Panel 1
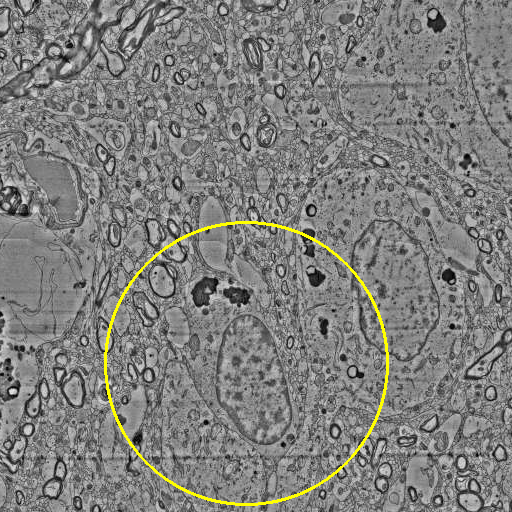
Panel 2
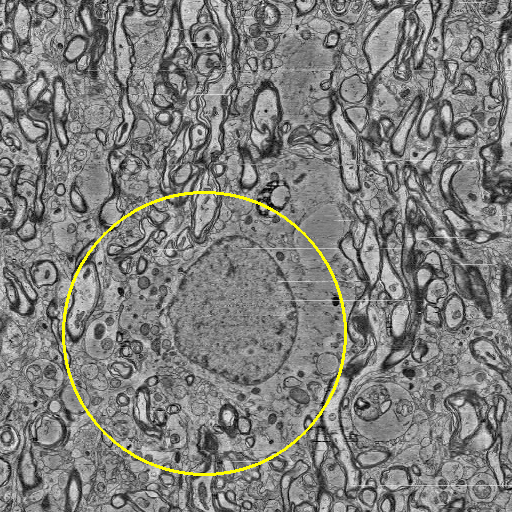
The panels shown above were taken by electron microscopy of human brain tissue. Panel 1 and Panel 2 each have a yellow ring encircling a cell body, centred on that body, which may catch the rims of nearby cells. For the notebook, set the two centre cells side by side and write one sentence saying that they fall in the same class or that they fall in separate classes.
The centred cells of Panel 1 and Panel 2 fall in separate classes.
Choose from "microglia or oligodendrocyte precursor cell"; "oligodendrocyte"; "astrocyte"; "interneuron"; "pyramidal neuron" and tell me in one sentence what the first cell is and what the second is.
What the first ring is centred on is an oligodendrocyte; what the second ring is centred on is an astrocyte.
